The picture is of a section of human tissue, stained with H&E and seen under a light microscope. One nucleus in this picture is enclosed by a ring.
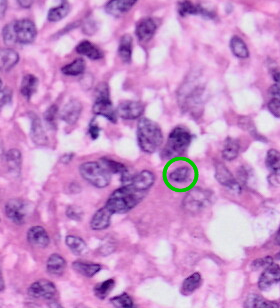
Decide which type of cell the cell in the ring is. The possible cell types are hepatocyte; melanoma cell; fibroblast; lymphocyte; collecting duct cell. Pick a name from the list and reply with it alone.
melanoma cell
